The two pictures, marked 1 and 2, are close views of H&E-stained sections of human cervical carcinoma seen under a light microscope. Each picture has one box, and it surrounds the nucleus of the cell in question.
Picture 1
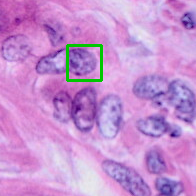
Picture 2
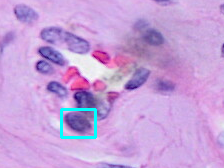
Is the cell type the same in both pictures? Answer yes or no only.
yes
